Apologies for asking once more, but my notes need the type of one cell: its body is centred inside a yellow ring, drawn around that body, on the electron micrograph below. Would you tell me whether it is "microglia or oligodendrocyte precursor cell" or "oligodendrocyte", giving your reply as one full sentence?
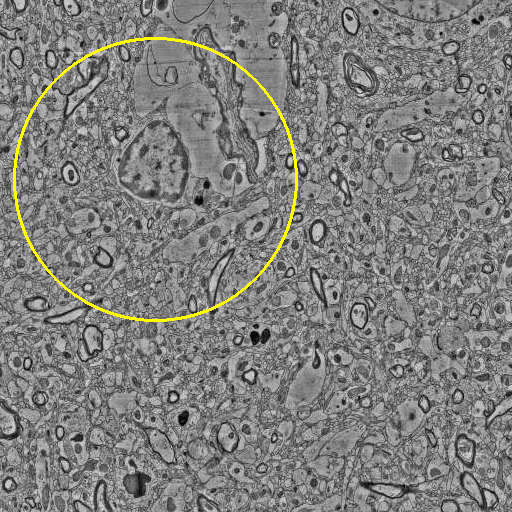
The cell that the yellow ring is centred on is a microglial cell or oligodendrocyte precursor cell in this micrograph.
